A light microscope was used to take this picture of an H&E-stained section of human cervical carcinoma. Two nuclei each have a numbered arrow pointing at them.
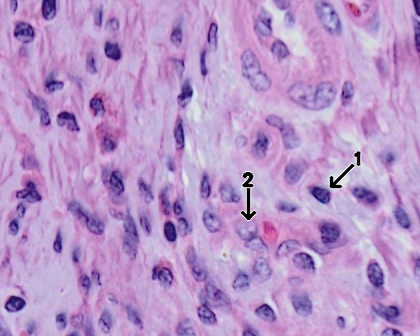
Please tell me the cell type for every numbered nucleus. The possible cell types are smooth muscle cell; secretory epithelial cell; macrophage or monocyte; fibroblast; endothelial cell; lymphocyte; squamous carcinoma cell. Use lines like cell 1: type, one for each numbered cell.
cell 1: lymphocyte
cell 2: endothelial cell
